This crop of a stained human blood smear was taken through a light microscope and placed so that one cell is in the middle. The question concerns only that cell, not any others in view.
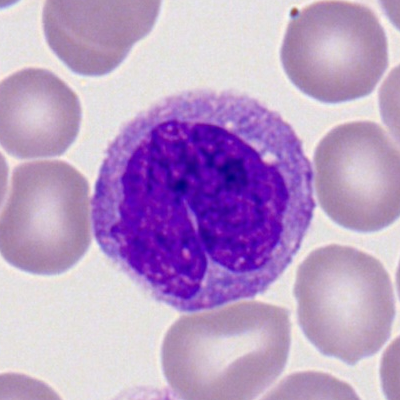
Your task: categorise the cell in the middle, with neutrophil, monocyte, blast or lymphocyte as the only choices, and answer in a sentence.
The target cell in the middle of the crop is a monocyte.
